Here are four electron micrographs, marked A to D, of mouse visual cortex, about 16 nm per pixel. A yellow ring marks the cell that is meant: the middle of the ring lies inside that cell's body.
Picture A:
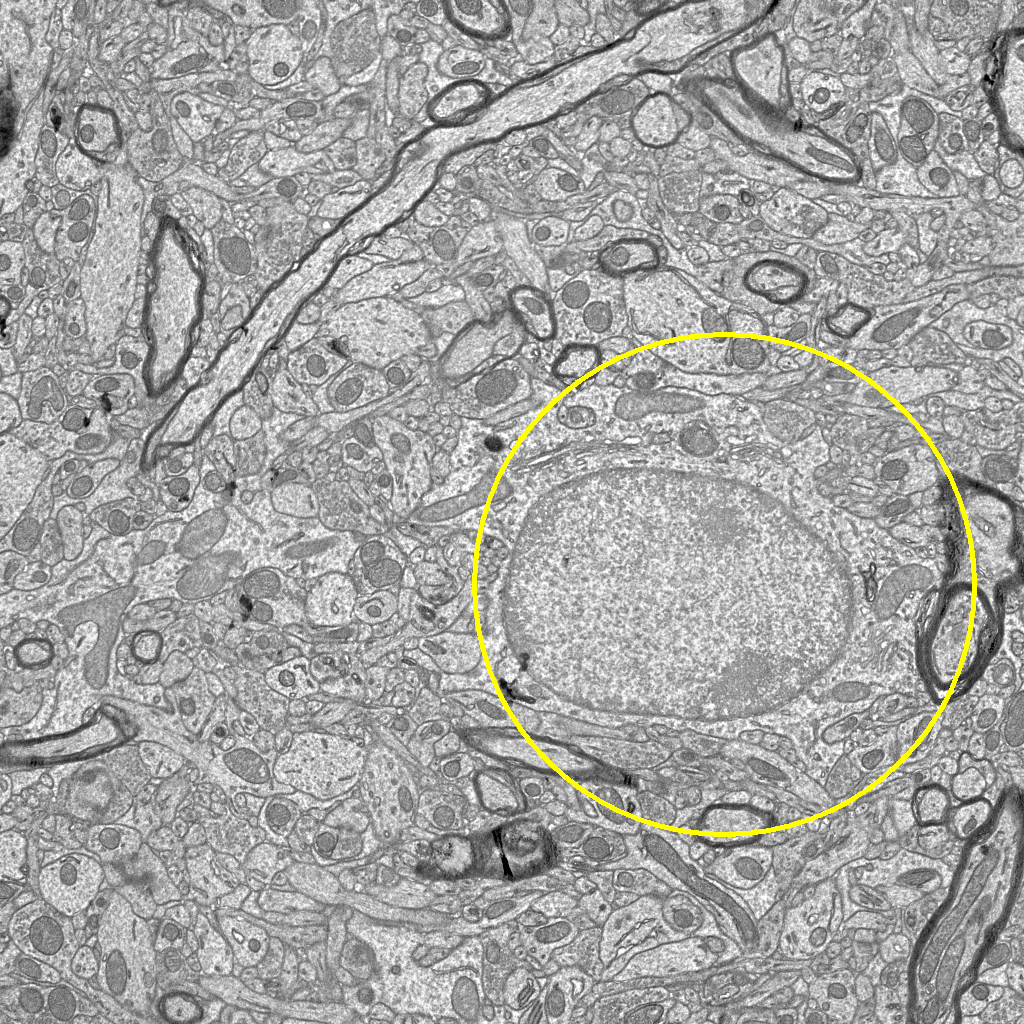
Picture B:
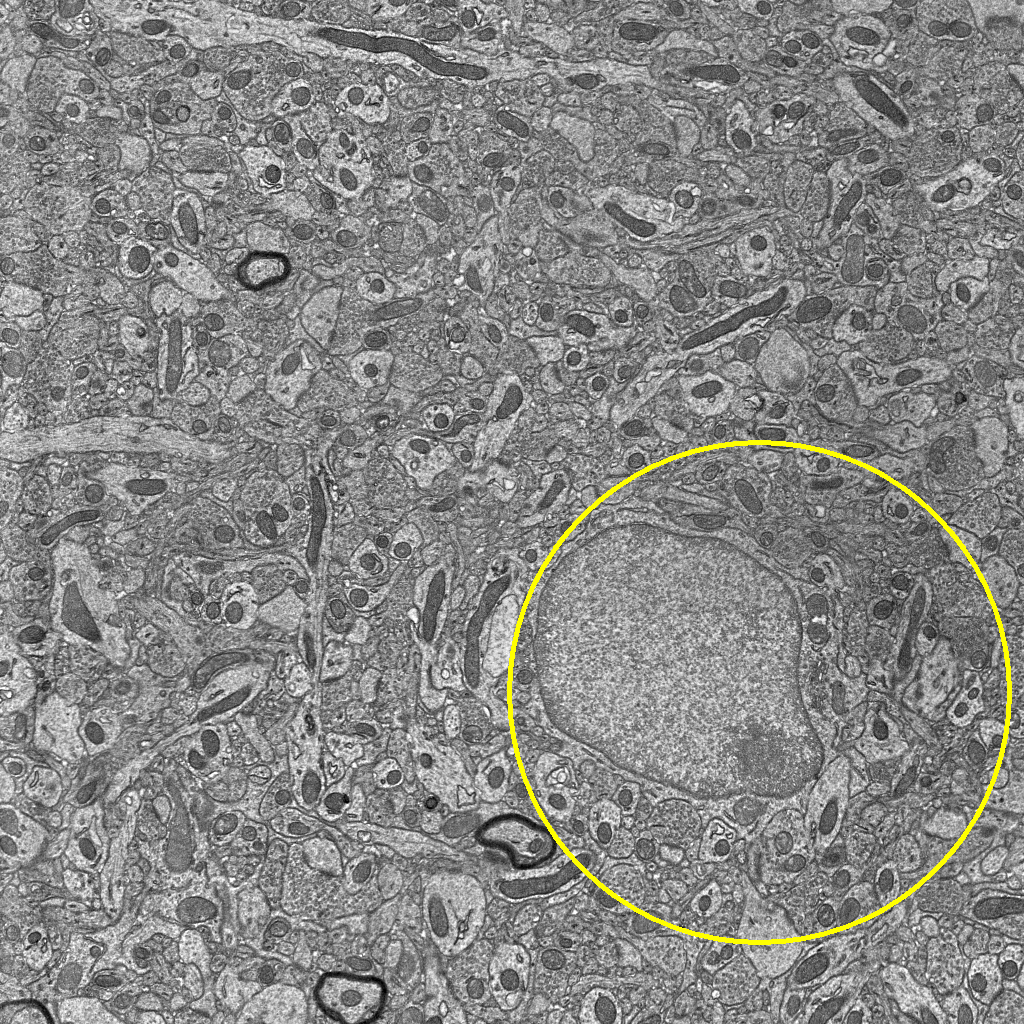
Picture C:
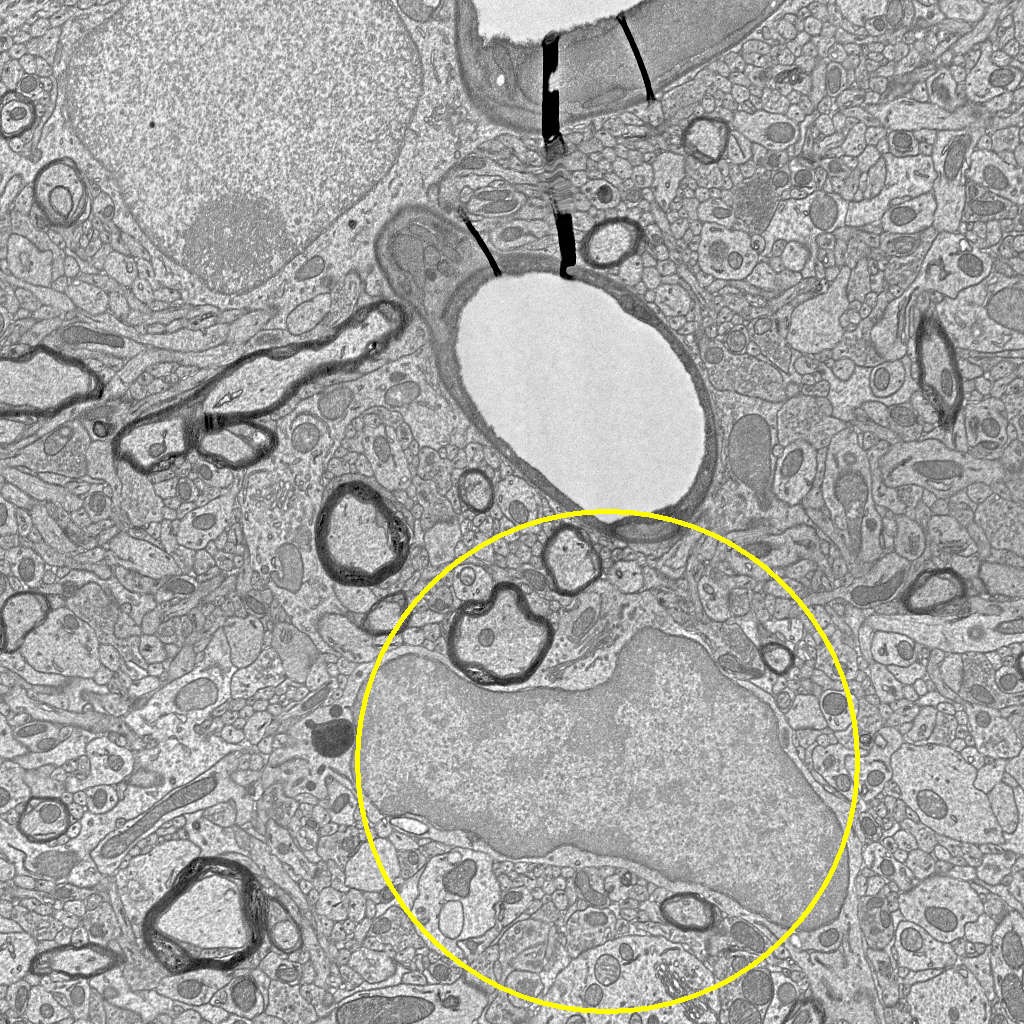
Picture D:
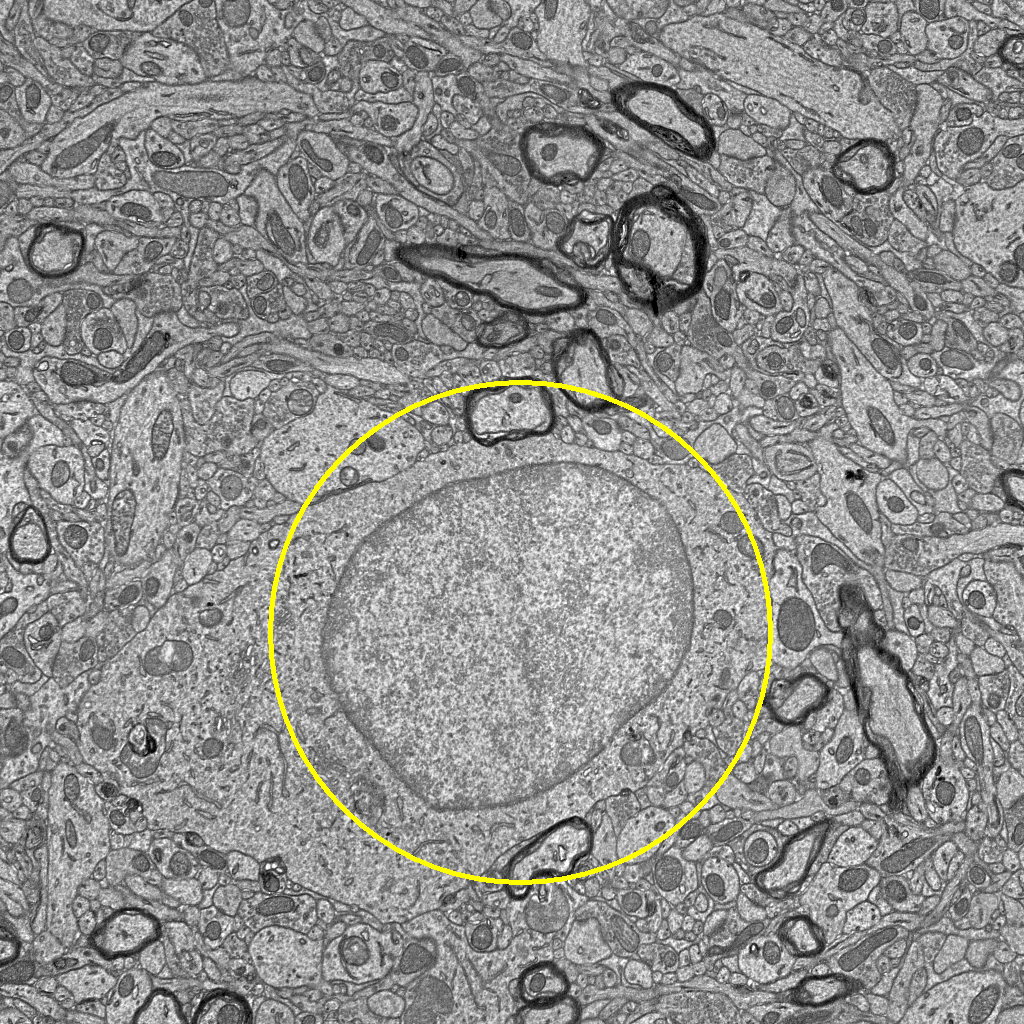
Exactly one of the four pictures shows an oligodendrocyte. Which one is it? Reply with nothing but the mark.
D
